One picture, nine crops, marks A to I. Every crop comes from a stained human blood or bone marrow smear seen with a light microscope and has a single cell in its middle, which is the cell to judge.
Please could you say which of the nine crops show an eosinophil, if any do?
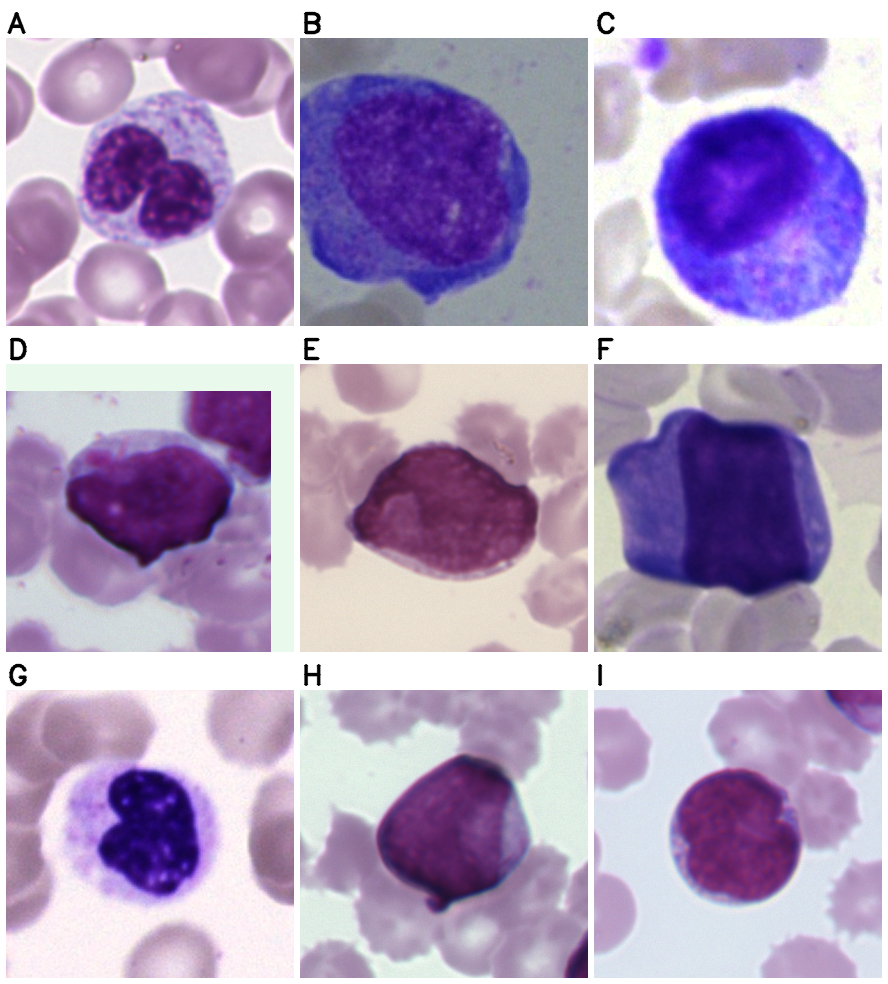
none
